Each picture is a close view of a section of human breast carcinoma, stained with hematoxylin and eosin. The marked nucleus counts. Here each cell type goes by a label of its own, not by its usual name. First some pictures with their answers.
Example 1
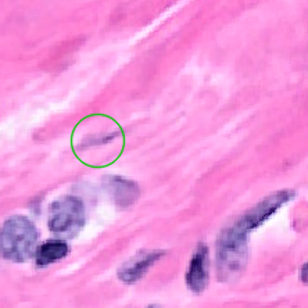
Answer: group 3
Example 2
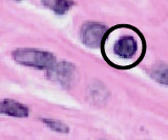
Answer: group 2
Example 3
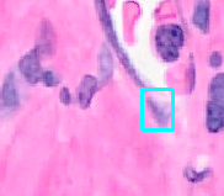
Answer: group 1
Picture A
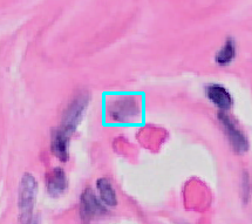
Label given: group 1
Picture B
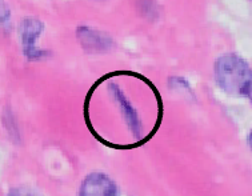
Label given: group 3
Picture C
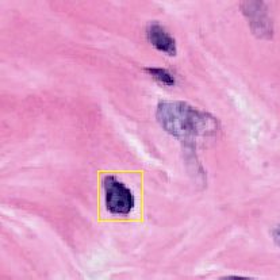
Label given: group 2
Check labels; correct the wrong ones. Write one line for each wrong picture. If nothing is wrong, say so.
Every label is right.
